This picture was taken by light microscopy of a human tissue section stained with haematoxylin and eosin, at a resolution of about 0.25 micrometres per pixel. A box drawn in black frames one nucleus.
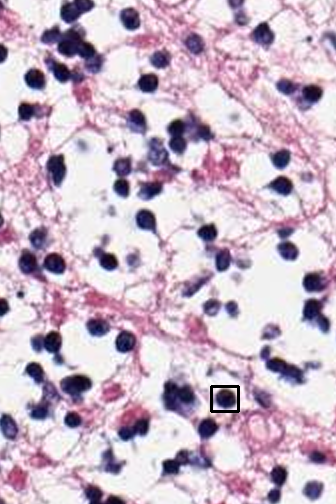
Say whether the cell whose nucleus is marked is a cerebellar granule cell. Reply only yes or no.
yes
